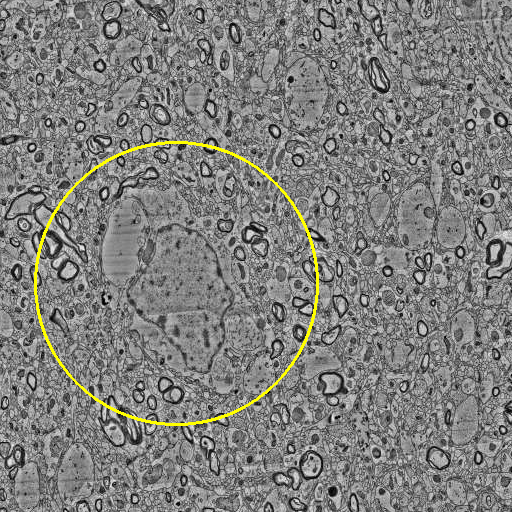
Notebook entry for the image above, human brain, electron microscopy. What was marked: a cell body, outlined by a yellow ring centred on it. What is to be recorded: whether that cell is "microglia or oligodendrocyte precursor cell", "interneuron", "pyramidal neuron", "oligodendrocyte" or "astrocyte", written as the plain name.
astrocyte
